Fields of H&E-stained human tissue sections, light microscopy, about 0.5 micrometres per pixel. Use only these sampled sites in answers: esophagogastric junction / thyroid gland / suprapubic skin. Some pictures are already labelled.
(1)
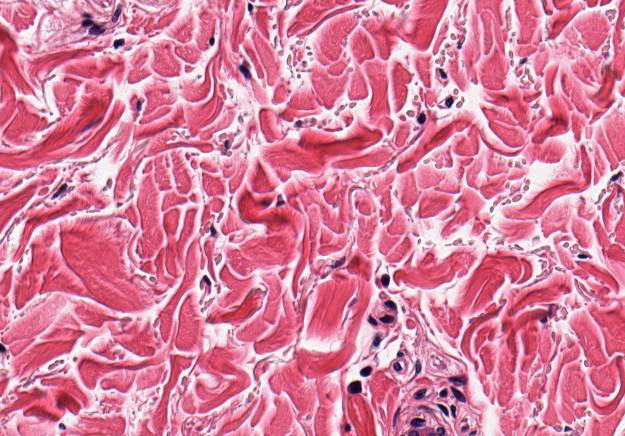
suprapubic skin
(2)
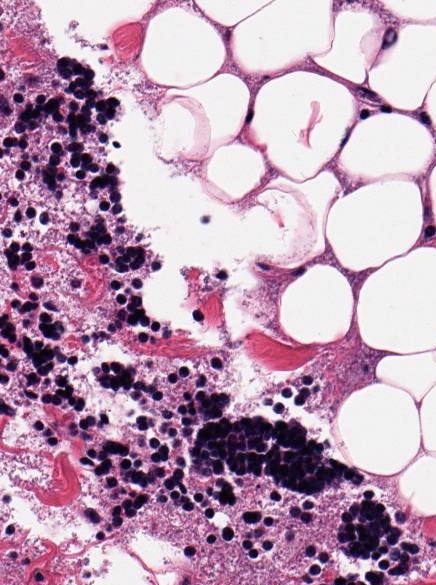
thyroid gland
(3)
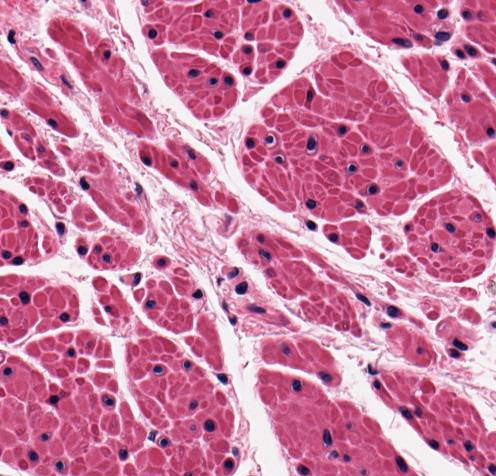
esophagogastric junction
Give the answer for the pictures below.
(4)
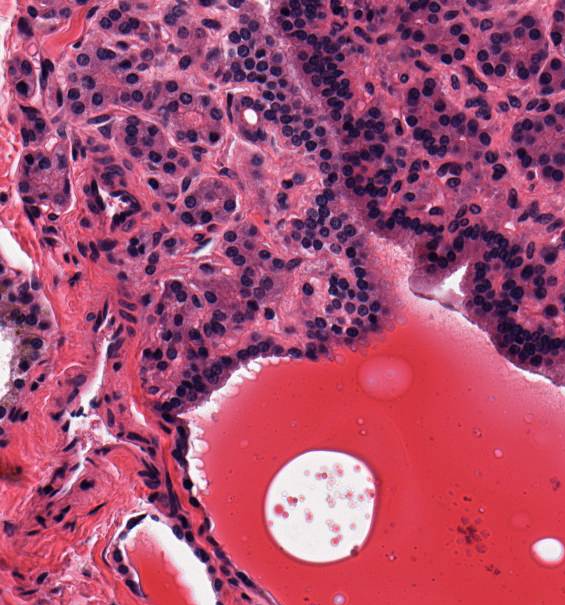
thyroid gland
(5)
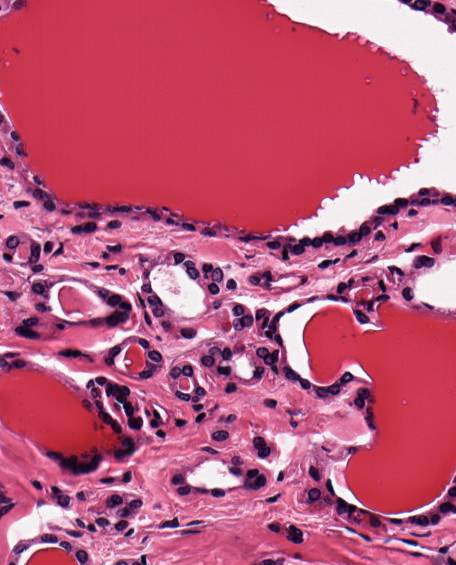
thyroid gland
